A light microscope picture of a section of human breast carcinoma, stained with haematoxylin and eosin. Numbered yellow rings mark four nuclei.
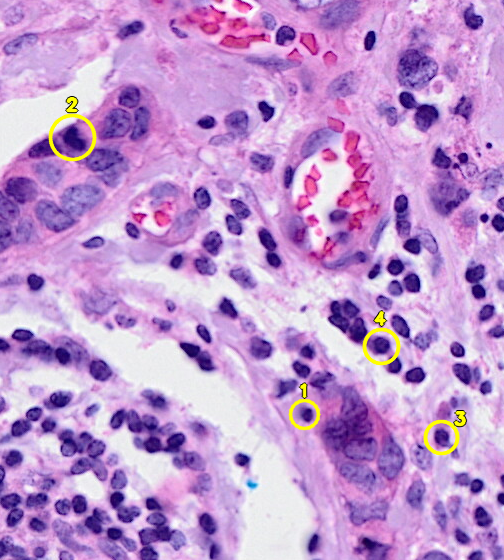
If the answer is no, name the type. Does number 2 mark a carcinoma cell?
Yes.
